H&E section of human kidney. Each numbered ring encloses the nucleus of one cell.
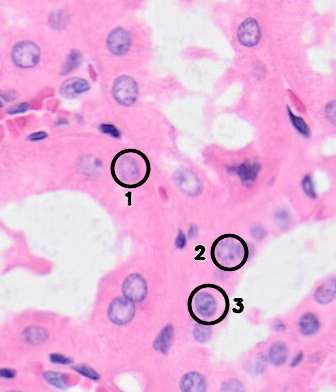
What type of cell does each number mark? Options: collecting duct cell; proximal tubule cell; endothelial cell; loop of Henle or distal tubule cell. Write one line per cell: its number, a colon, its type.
1: proximal tubule cell
2: collecting duct cell
3: collecting duct cell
